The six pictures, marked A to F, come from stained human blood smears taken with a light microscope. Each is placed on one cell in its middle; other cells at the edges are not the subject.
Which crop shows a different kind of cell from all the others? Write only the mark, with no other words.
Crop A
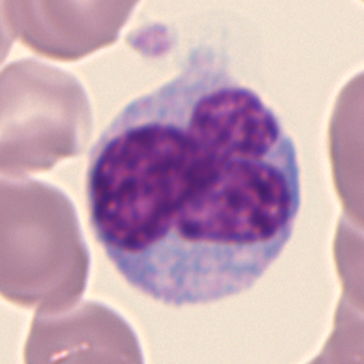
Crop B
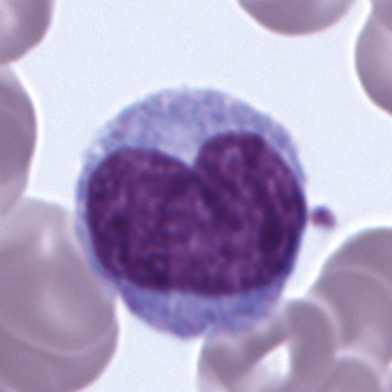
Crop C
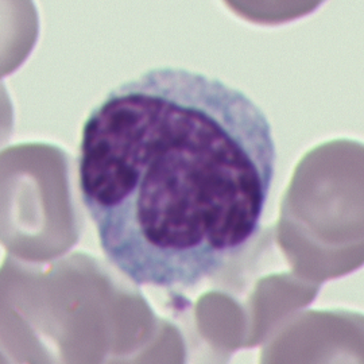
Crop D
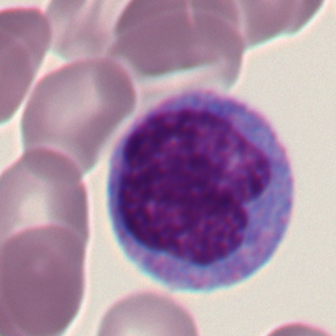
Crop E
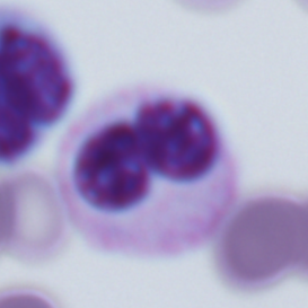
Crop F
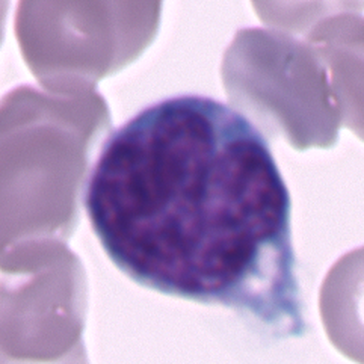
E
